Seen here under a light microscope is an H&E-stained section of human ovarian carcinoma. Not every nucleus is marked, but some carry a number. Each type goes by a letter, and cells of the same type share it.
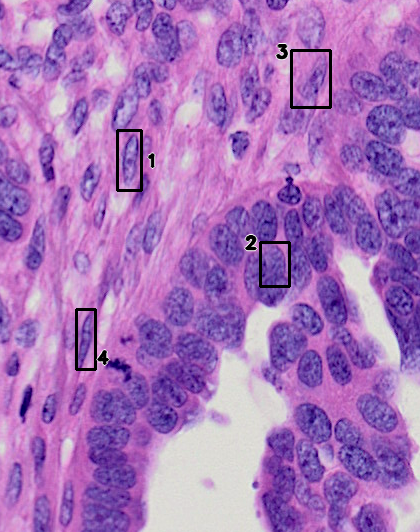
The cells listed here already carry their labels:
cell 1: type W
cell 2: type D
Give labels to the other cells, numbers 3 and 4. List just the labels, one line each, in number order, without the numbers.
type W
type W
